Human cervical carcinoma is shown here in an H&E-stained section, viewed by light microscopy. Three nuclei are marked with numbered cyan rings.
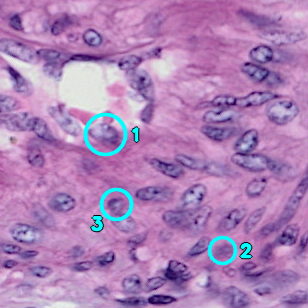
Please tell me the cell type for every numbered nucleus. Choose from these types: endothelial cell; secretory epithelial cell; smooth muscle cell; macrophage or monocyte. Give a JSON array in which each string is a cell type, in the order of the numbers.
["endothelial cell", "smooth muscle cell", "smooth muscle cell"]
